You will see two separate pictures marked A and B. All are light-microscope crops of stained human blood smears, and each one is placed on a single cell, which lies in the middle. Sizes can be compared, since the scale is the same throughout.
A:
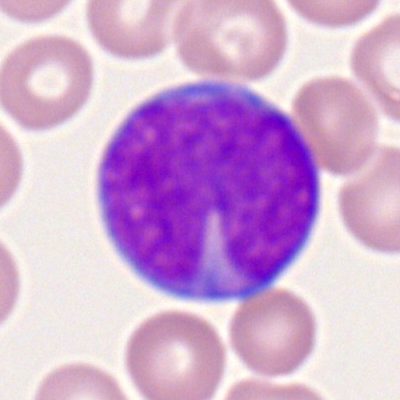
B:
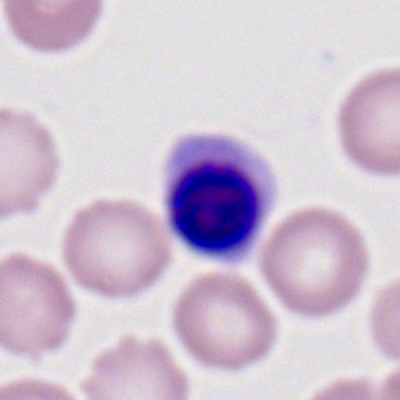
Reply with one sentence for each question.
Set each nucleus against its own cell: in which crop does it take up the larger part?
It is the cell in crop A that is filled more by its nucleus.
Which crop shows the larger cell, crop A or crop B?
Larger is the cell in crop A, at roughly 4 times the area of the other.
